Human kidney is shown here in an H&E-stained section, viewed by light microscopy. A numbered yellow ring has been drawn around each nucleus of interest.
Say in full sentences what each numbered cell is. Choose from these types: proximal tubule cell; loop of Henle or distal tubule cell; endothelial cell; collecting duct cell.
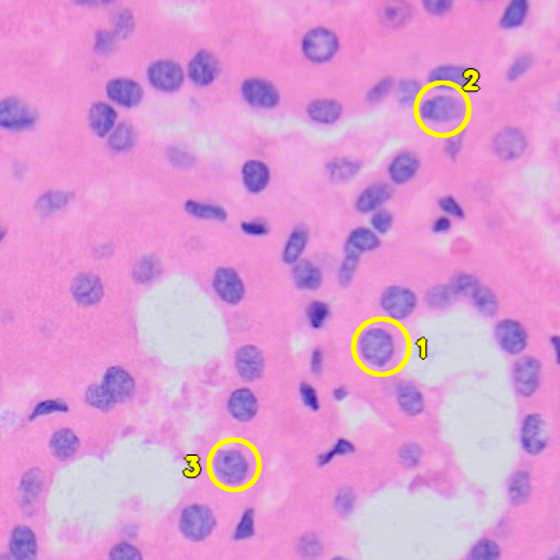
Cells 1 and 3 are loop of Henle or distal tubule cells. Cell 2 is a collecting duct cell.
